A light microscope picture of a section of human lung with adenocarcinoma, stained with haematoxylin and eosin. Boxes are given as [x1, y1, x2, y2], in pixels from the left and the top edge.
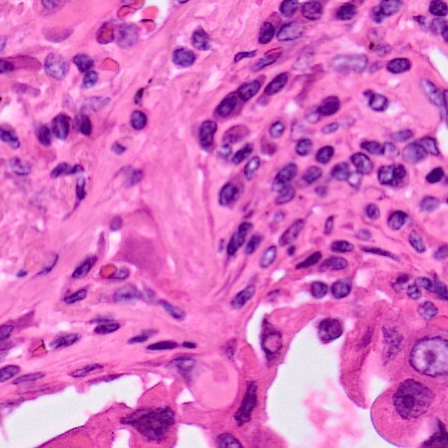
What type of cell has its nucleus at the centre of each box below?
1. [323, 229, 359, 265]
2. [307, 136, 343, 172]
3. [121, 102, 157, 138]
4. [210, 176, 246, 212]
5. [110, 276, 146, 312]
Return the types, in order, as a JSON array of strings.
["lymphocyte", "lymphocyte", "mast cell", "plasma cell", "fibroblast"]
